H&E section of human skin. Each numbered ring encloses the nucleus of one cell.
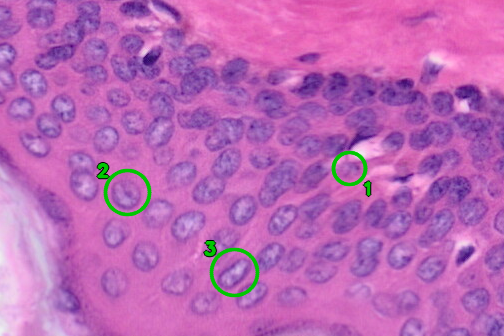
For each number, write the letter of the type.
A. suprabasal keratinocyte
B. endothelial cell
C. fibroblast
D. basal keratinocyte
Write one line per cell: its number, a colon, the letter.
1: D
2: A
3: A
